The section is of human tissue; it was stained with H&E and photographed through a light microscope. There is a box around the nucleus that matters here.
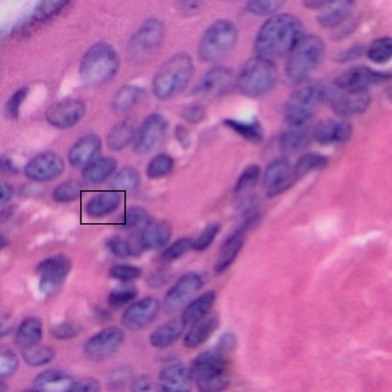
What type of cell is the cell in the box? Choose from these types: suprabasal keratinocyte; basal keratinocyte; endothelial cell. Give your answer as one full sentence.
In the tissue at hand, the cell in the box is a basal keratinocyte.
